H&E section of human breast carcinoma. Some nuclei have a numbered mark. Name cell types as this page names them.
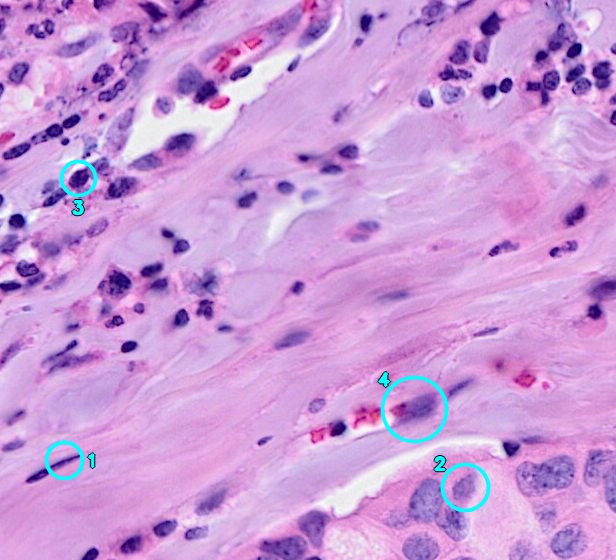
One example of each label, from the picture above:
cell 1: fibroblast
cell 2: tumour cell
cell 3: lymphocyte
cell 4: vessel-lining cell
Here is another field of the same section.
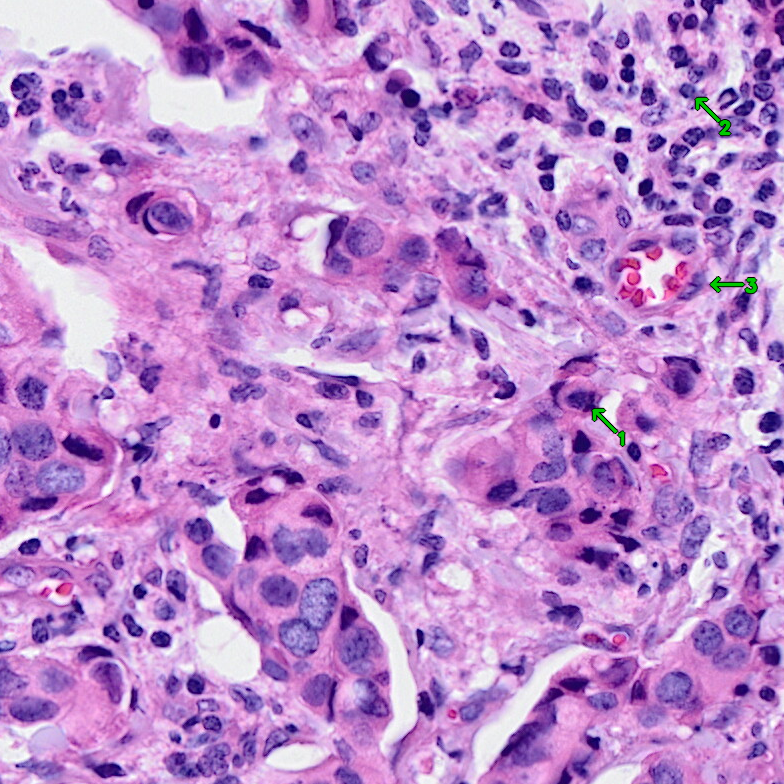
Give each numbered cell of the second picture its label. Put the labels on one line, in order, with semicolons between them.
tumour cell; lymphocyte; vessel-lining cell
